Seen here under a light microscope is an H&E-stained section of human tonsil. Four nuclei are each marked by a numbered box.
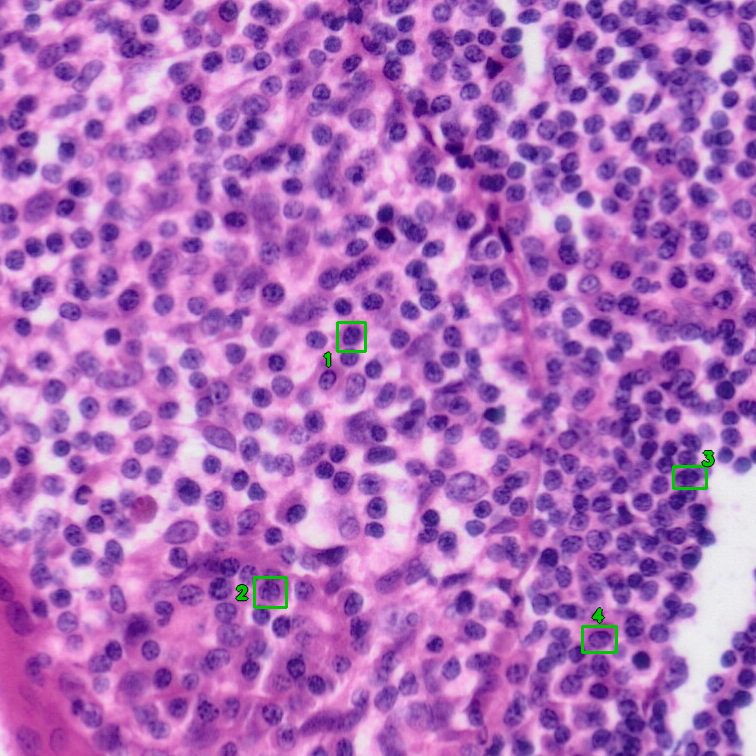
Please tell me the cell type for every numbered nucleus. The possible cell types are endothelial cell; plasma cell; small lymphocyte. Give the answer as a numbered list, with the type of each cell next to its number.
1. plasma cell
2. plasma cell
3. small lymphocyte
4. plasma cell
